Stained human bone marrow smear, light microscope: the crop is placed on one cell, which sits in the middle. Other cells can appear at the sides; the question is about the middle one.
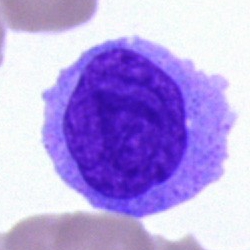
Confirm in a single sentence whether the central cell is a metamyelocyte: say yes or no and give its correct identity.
No, mark the middle cell as a monocyte, not a metamyelocyte.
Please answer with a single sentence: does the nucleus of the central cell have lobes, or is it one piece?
Key feature: a single compact nucleus, round, oval or kidney-shaped.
